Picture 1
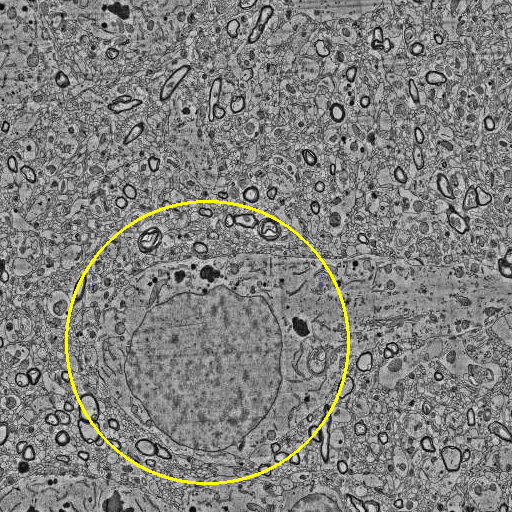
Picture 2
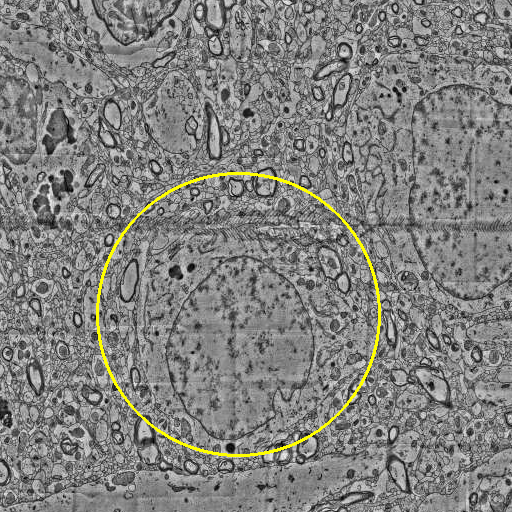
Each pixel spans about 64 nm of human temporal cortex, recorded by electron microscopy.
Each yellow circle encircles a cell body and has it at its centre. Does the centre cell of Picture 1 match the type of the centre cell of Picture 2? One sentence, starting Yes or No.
Yes, the cell centred in Picture 1 and the one in Picture 2 share a type.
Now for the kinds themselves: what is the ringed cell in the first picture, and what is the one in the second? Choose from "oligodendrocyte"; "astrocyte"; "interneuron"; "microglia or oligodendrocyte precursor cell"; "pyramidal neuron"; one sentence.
Each of the two cells is a pyramidal neuron.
